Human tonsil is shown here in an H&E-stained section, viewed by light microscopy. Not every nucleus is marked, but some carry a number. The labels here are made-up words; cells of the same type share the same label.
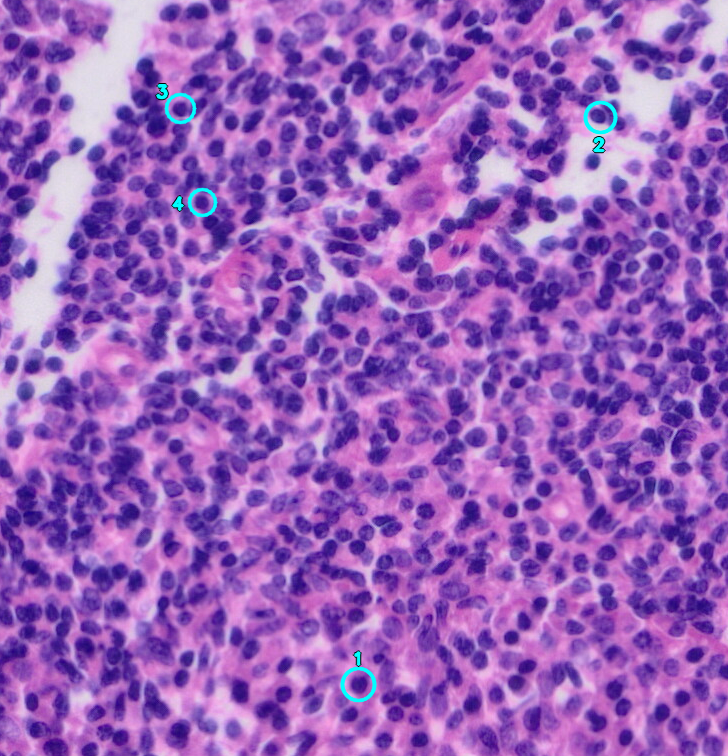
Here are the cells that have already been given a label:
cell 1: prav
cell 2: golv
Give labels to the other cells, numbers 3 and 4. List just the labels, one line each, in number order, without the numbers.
golv
golv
